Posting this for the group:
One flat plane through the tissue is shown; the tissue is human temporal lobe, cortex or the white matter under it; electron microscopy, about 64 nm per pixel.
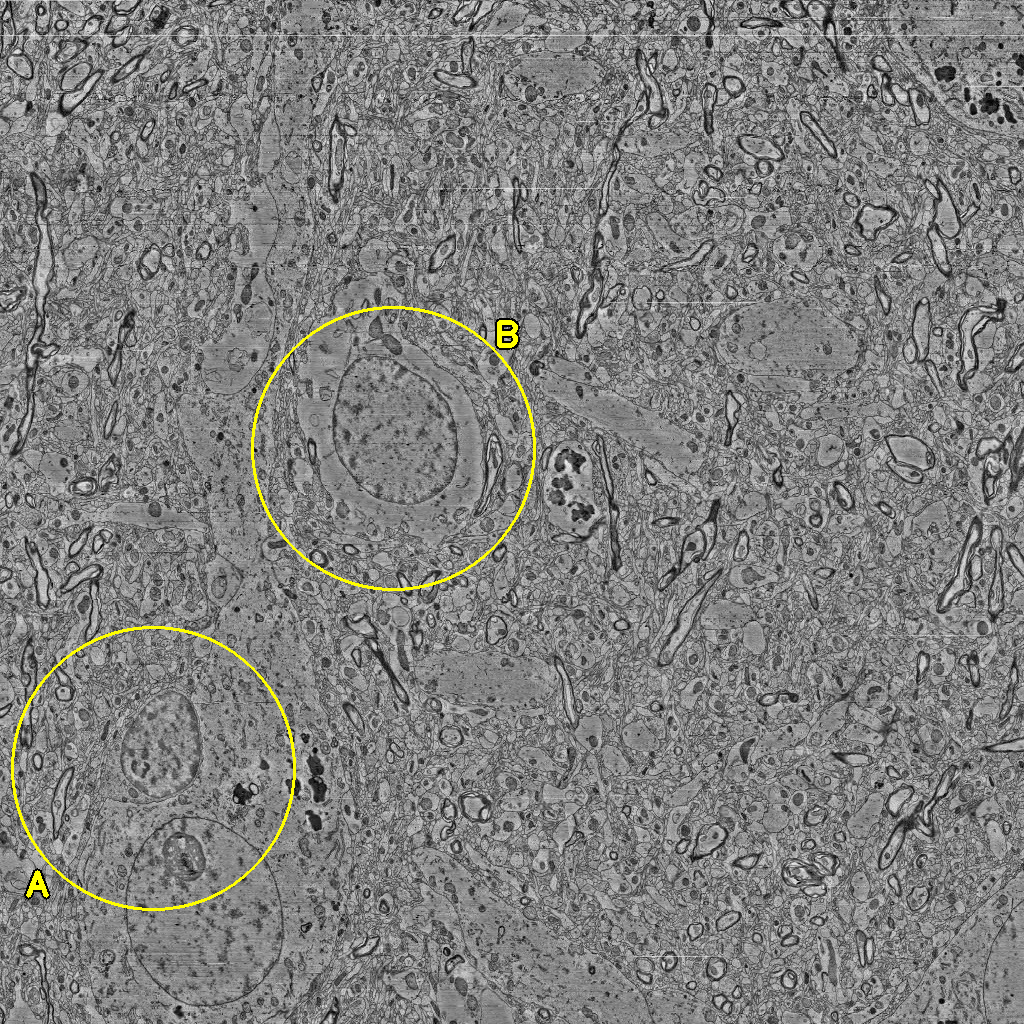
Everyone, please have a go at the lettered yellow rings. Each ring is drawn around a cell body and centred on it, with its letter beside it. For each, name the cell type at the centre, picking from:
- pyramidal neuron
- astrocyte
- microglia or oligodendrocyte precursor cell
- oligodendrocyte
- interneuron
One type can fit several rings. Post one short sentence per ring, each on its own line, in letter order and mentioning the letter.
My call for ring A is an oligodendrocyte.
My call for ring B is an astrocyte.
